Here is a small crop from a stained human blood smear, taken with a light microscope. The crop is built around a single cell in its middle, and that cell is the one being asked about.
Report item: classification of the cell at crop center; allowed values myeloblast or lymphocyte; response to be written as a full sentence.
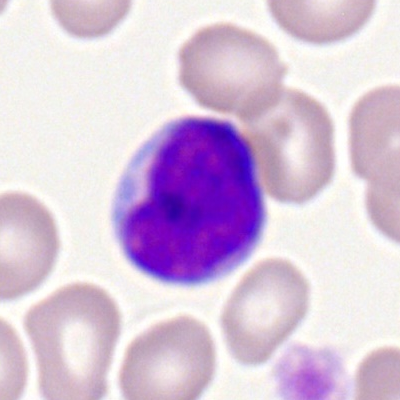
For this crop, the central cell is a myeloblast.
